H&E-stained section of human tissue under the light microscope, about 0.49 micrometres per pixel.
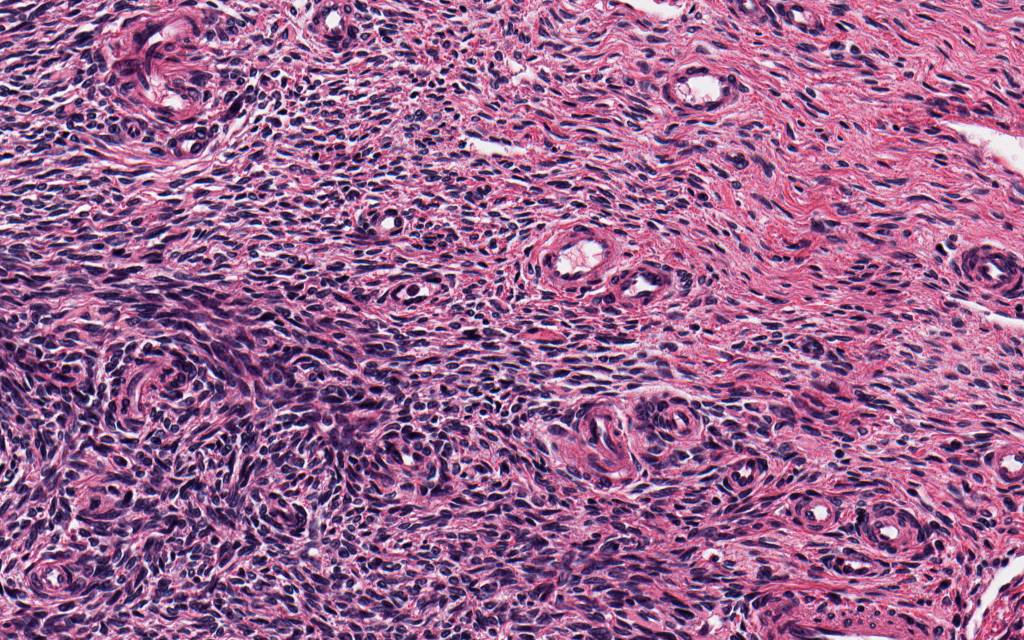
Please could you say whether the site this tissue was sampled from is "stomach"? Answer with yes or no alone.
no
